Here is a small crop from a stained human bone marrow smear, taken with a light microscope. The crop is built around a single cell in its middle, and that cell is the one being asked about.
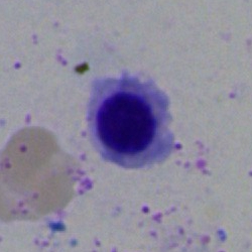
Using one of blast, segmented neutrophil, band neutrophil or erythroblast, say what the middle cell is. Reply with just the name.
erythroblast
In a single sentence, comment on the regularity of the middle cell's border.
Projections or ragged segments give this cell an irregular rather than smooth border.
